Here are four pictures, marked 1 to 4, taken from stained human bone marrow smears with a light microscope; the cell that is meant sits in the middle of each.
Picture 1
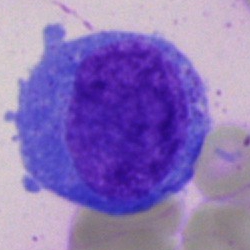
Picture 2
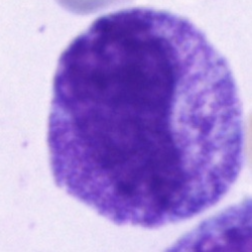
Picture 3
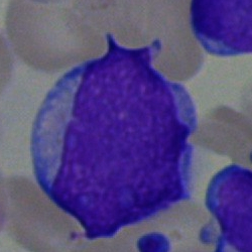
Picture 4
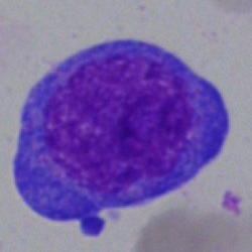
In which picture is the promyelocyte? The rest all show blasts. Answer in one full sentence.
The cell in picture 2 is the promyelocyte.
